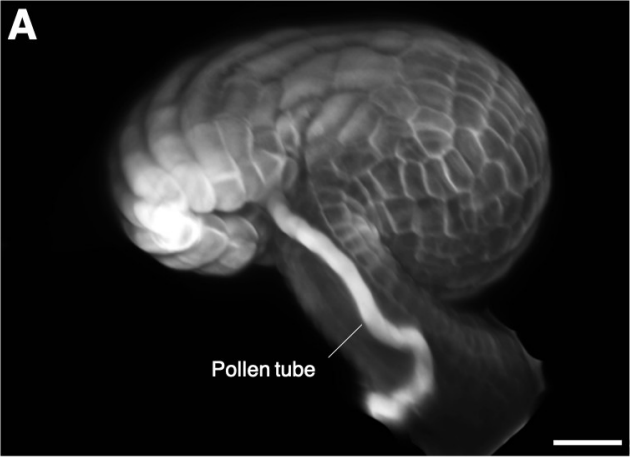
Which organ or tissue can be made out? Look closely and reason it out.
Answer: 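A rounded, curved body built of many polygonal cells with bright outlines. A stalk-like base leads down from the rounded body. A bright tube runs along the base and ends near a fold of the curved body.
Answer: ovule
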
